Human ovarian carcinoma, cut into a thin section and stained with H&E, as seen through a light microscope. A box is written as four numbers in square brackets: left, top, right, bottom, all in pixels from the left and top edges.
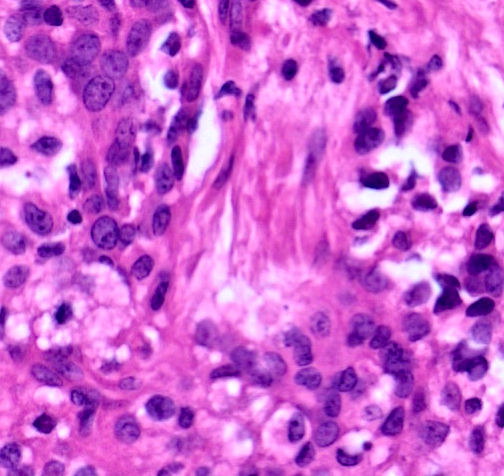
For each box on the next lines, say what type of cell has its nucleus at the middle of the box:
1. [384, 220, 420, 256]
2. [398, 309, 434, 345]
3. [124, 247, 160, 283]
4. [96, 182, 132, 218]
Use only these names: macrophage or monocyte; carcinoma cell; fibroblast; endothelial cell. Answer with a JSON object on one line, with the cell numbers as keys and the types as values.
{"1": "macrophage or monocyte", "2": "carcinoma cell", "3": "macrophage or monocyte", "4": "carcinoma cell"}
